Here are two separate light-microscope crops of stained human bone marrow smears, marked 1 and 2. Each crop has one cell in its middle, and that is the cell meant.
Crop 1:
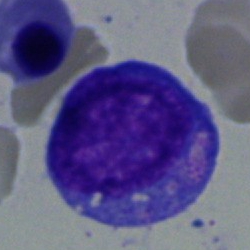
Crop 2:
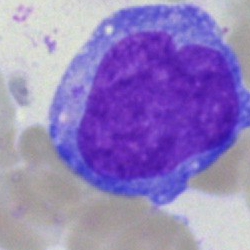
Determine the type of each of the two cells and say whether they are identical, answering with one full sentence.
Yes, in both of the crops, the central cells are blasts.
